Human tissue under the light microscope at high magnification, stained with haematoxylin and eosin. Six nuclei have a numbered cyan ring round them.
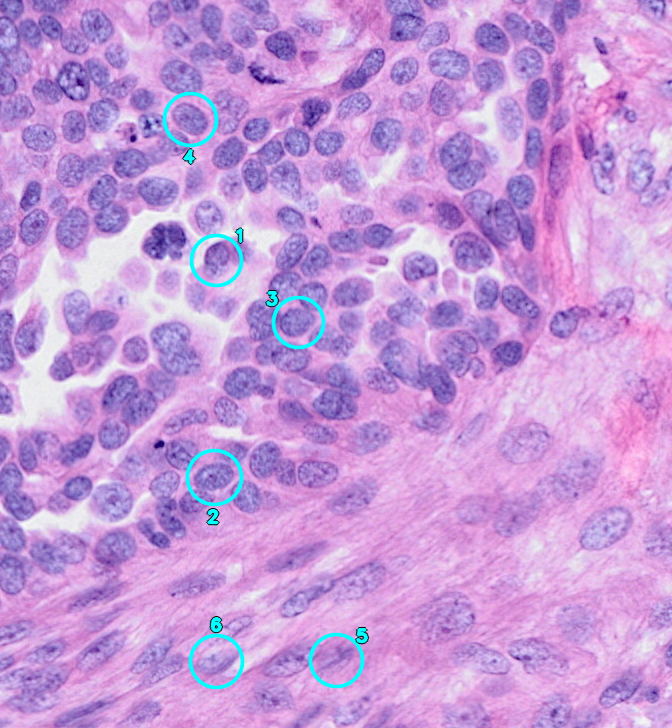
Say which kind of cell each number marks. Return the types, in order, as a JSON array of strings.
["carcinoma cell", "carcinoma cell", "carcinoma cell", "carcinoma cell", "fibroblast", "fibroblast"]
